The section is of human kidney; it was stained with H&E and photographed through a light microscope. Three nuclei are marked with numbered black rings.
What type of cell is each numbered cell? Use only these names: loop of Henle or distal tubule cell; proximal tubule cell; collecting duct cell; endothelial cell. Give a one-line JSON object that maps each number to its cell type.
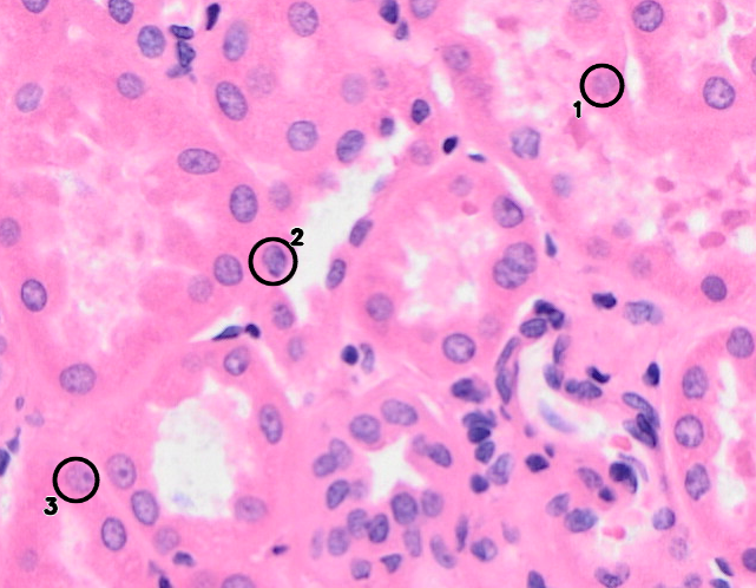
{"1": "proximal tubule cell", "2": "loop of Henle or distal tubule cell", "3": "proximal tubule cell"}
